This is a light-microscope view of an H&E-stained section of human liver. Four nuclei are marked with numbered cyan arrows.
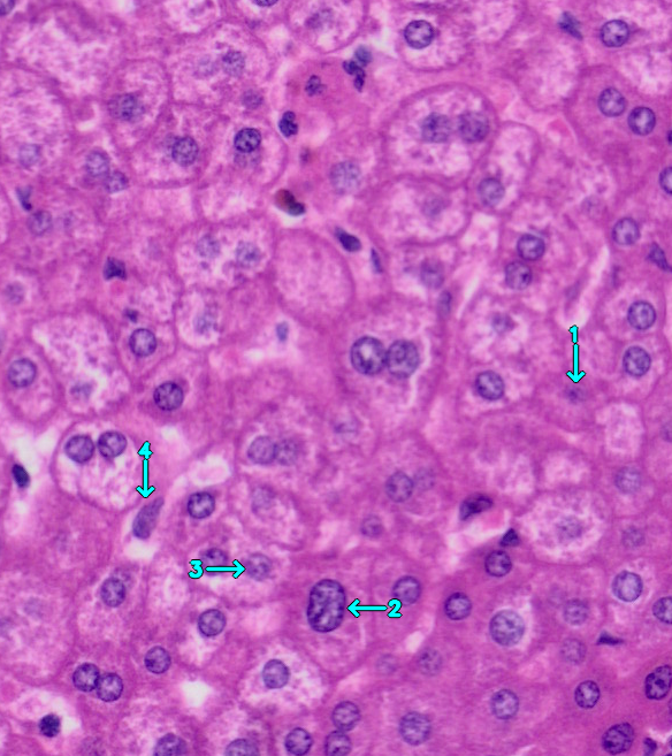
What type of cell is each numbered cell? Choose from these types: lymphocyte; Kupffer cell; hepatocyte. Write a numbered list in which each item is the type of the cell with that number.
1. hepatocyte
2. hepatocyte
3. hepatocyte
4. Kupffer cell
